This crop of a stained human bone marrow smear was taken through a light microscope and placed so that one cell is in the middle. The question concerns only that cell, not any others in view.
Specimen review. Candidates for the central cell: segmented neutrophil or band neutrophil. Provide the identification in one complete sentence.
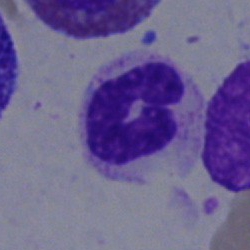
By classification, the middle cell of this crop is a segmented neutrophil.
